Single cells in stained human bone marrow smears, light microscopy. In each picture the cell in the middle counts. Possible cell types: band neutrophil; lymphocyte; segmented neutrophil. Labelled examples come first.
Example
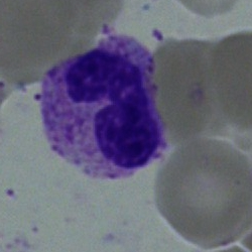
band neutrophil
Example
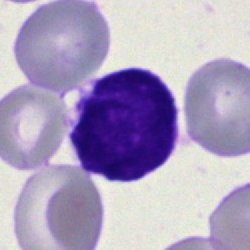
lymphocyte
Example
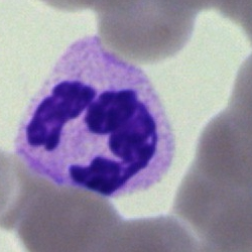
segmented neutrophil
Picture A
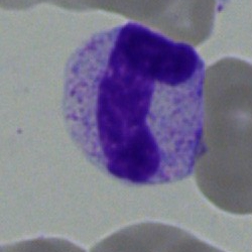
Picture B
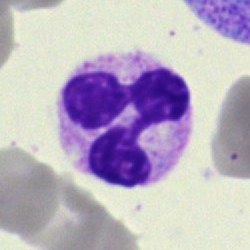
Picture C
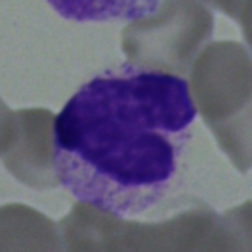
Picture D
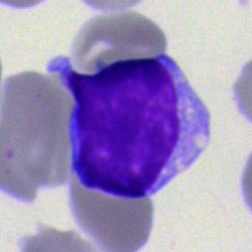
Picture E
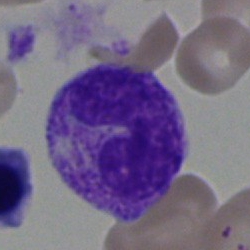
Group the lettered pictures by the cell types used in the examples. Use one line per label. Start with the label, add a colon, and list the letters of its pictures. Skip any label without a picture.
band neutrophil: A, C, E
lymphocyte: D
segmented neutrophil: B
